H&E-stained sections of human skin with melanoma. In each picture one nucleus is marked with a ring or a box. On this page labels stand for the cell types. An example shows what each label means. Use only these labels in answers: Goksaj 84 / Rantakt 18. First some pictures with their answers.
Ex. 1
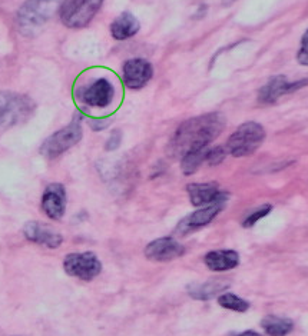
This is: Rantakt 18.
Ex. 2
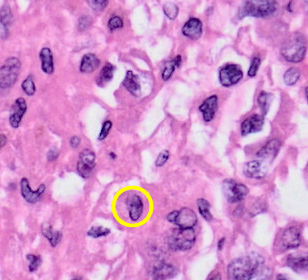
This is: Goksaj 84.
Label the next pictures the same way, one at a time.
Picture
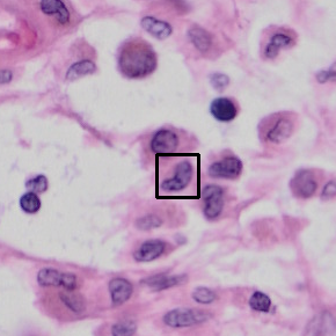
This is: Goksaj 84.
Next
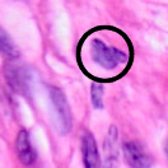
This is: Rantakt 18.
